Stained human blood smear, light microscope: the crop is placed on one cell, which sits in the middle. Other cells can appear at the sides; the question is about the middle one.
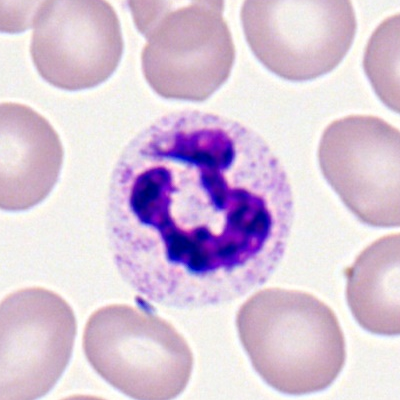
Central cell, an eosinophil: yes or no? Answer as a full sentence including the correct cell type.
No, not an eosinophil but a segmented neutrophil is the cell in the centre.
